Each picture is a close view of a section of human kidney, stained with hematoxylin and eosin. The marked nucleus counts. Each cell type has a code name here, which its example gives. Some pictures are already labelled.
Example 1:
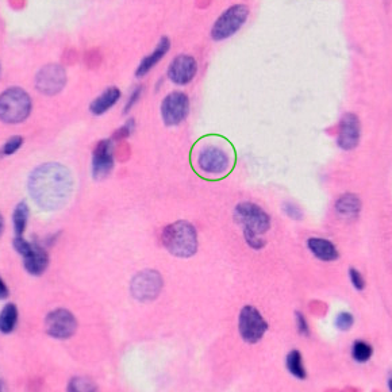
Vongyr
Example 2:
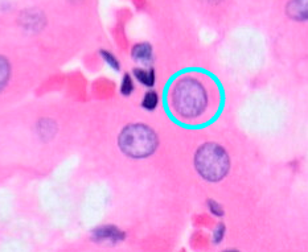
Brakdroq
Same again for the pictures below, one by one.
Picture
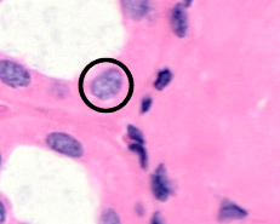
Vongyr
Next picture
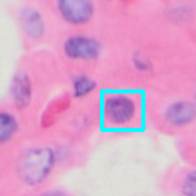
Vongyr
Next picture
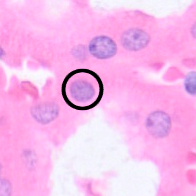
Brakdroq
